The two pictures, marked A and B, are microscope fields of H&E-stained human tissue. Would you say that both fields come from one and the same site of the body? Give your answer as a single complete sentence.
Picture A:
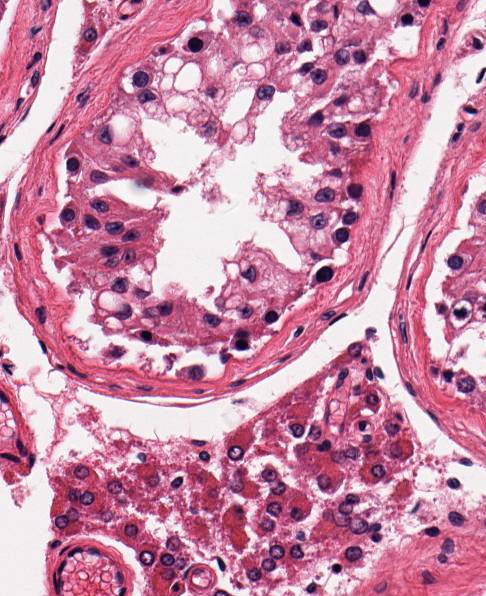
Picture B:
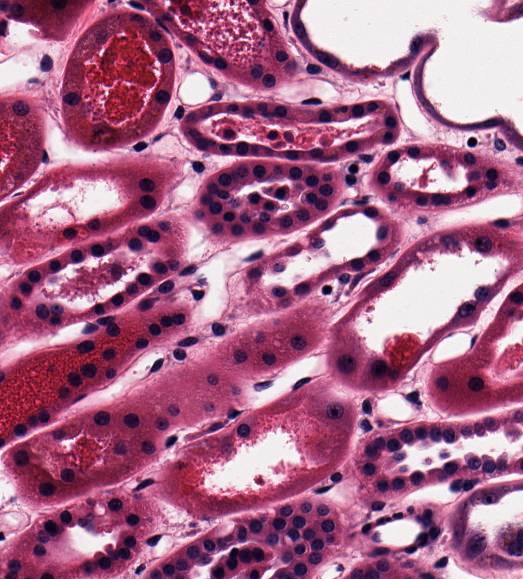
No, they differ: picture A comes from the testis, and picture B comes from the renal cortex.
